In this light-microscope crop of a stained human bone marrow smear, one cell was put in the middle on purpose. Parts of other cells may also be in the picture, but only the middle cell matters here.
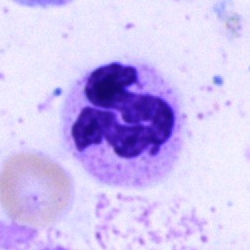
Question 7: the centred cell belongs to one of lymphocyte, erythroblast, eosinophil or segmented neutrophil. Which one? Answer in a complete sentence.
Looking at the middle of the crop, the cell there is a segmented neutrophil.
